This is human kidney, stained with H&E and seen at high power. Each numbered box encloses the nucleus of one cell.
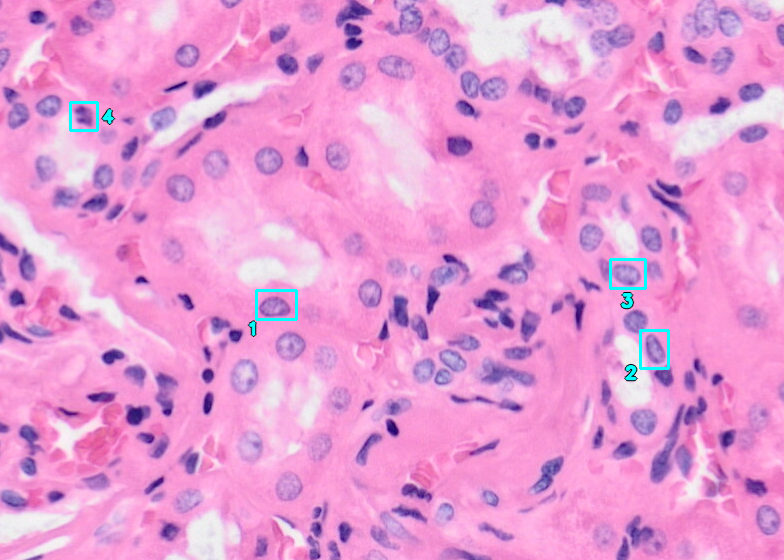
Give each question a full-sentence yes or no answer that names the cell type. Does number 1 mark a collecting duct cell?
No, cell 1 has been misnamed; it is a proximal tubule cell, not a collecting duct cell.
